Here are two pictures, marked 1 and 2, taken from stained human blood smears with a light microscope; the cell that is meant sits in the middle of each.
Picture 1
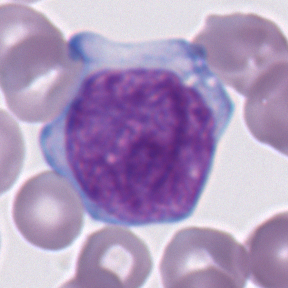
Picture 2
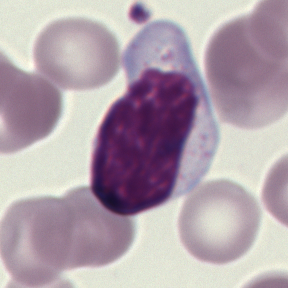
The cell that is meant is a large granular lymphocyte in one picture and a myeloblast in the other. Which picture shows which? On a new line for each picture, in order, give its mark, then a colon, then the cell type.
1: myeloblast
2: large granular lymphocyte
